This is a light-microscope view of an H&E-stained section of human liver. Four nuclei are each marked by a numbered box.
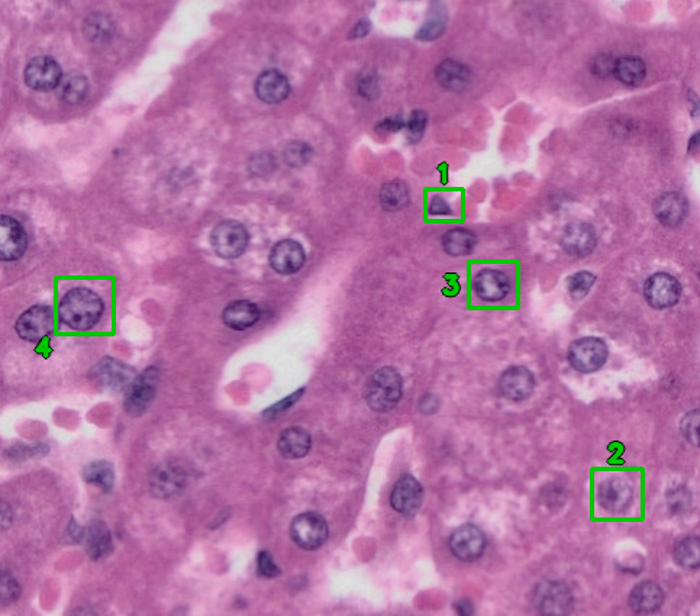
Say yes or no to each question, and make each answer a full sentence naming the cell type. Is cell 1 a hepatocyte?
No, cell 1 is a fibroblast or stellate cell; it is not a hepatocyte.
